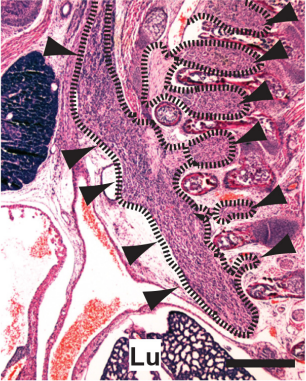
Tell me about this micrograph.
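An elongated, densely cellular mass with a streaming, fibrous texture lies along the vertebral column, outlined by a dashed line, and sends rounded lobes between the pale vertebral elements. On the other side lie loose connective tissue, vessels filled with red blood cells and a dark blue organ, and lung with its air spaces appears at the bottom. The mass is far thicker than a normal nerve or ganglion.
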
